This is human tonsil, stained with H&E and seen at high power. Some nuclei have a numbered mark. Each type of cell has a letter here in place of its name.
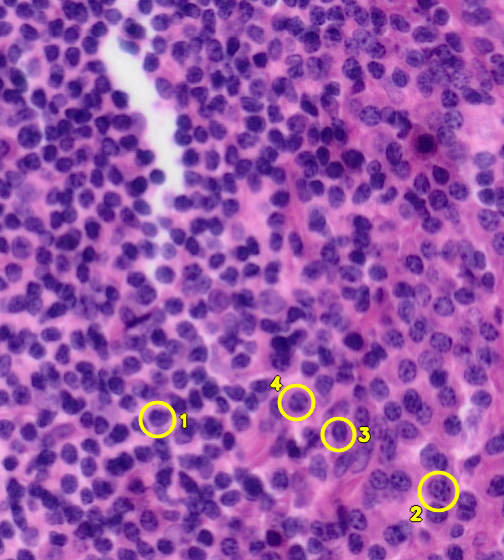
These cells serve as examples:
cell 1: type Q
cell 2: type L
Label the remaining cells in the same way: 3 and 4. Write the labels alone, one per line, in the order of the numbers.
type L
type L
